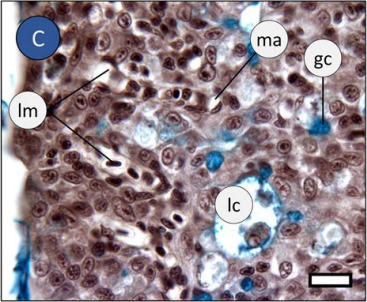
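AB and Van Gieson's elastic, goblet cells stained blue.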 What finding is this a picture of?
severe interlamellar hyperplasia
